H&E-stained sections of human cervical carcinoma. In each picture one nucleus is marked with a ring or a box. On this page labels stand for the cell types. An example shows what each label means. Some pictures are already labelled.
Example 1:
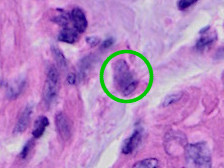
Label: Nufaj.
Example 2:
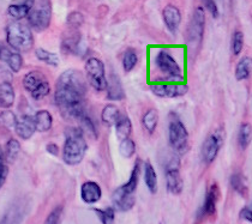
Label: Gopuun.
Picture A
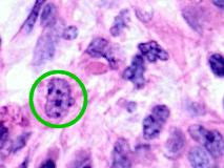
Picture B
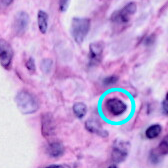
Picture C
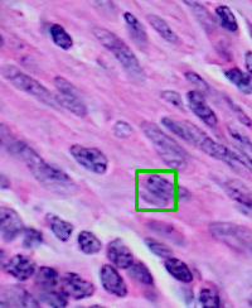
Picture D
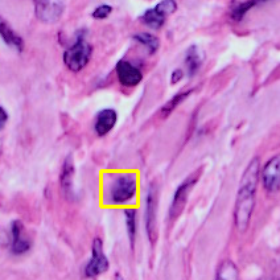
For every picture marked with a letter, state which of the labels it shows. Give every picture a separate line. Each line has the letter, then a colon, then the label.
A: Nufaj.
B: Gopuun.
C: Gopuun.
D: Gopuun.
